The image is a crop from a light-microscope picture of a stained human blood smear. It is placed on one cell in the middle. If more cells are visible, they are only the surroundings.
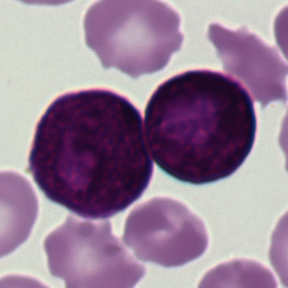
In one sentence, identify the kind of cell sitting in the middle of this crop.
The cell in the middle of this crop is a myeloblast.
